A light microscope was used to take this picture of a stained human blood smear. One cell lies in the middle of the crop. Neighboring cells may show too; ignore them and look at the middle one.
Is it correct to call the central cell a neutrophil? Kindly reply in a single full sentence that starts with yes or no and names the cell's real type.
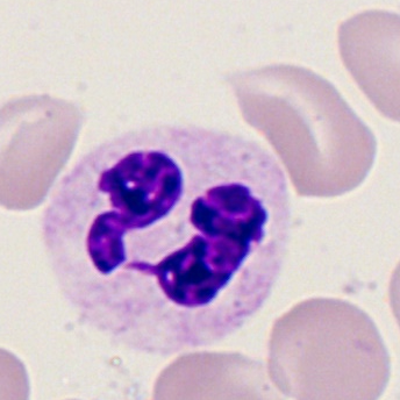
Yes, the centred cell is categorised as a neutrophil.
